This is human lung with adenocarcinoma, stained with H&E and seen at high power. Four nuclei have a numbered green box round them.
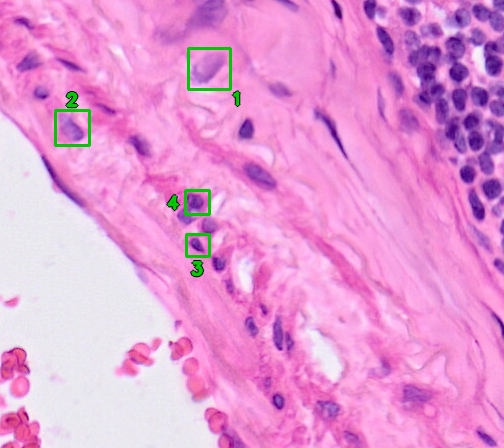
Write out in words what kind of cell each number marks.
Cell 1 is a fibroblast, cell 2 is a smooth muscle cell or pericyte, cell 3 is a smooth muscle cell or pericyte and cell 4 is a smooth muscle cell or pericyte.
